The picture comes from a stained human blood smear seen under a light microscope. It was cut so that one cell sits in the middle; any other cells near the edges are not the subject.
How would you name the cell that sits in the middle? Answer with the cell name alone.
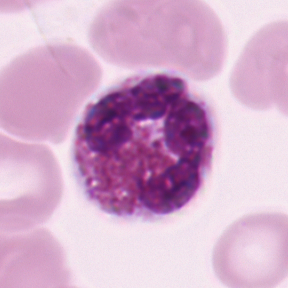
eosinophil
